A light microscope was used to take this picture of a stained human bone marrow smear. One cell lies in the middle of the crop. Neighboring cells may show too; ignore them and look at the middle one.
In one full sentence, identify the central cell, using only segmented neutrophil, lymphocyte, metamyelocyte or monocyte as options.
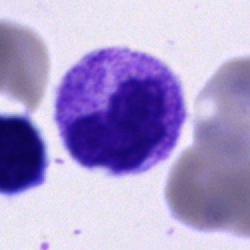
The cell at the heart of this crop is a metamyelocyte.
